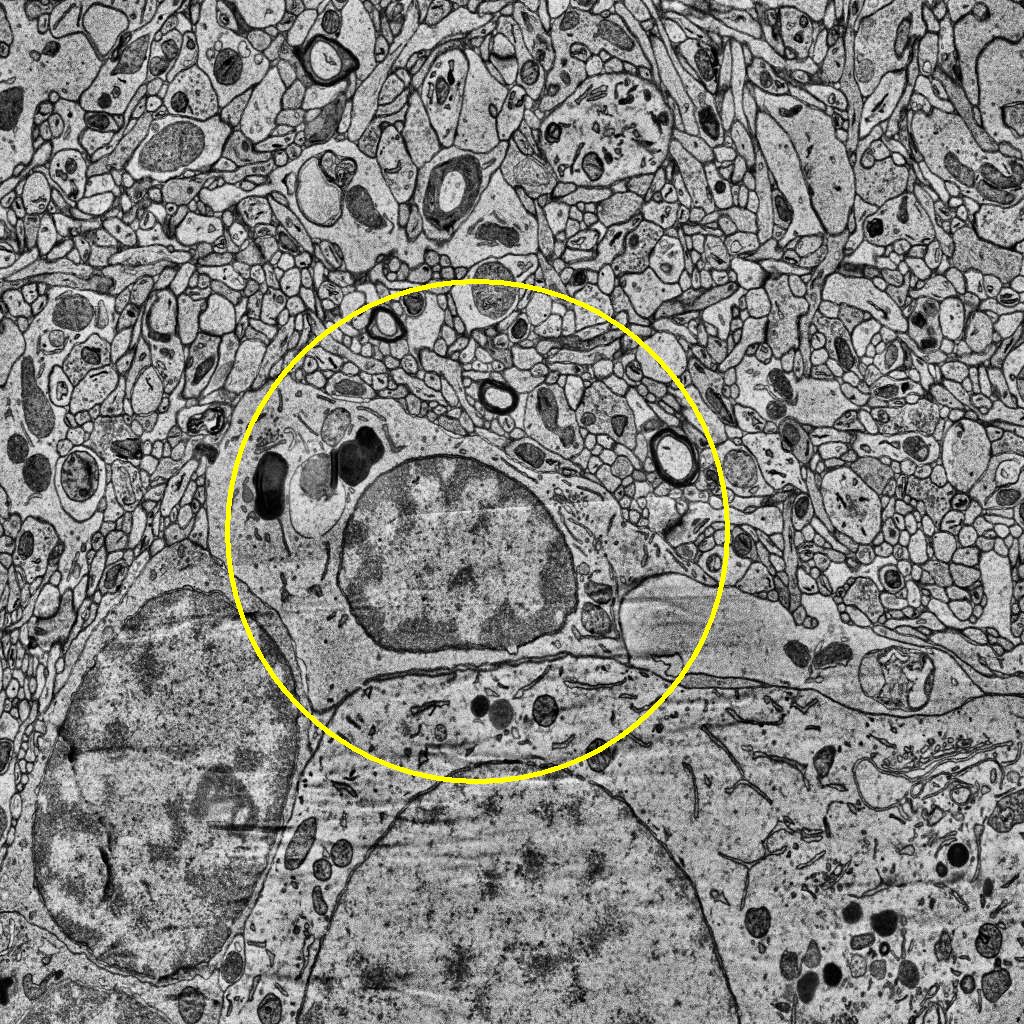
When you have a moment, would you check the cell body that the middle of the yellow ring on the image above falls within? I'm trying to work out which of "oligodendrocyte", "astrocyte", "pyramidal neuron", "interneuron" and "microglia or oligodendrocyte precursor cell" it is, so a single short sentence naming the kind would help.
This cell body belongs to a microglial cell or oligodendrocyte precursor cell.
